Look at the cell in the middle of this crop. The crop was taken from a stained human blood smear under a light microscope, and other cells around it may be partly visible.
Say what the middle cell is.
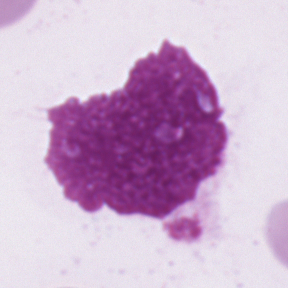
smudge cell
